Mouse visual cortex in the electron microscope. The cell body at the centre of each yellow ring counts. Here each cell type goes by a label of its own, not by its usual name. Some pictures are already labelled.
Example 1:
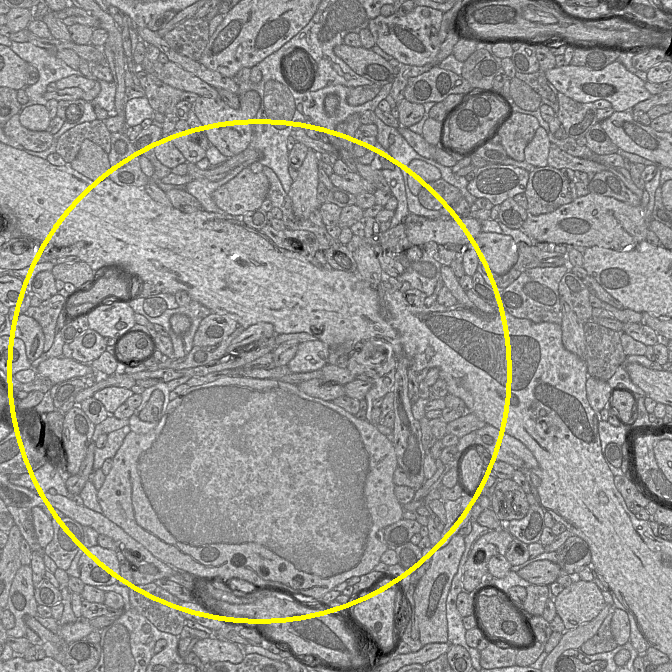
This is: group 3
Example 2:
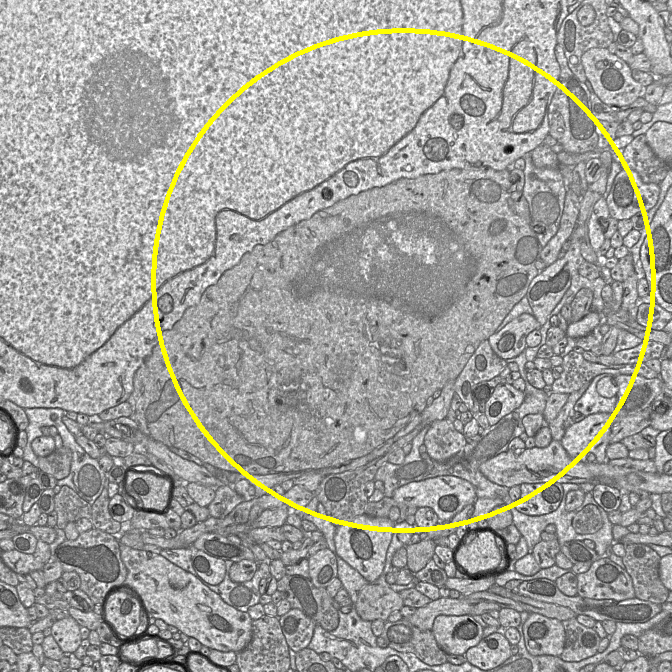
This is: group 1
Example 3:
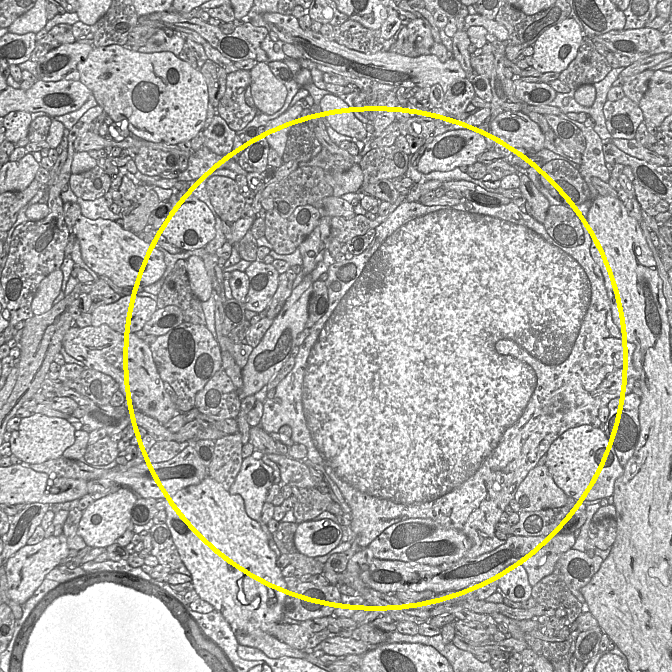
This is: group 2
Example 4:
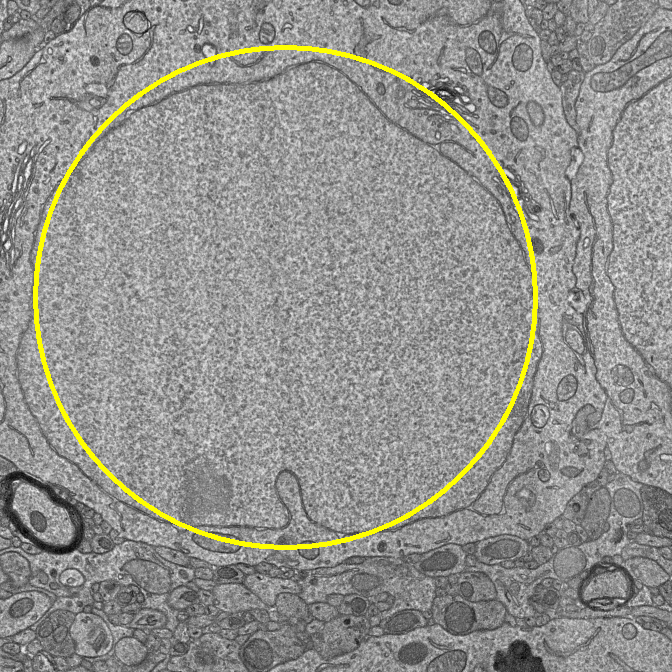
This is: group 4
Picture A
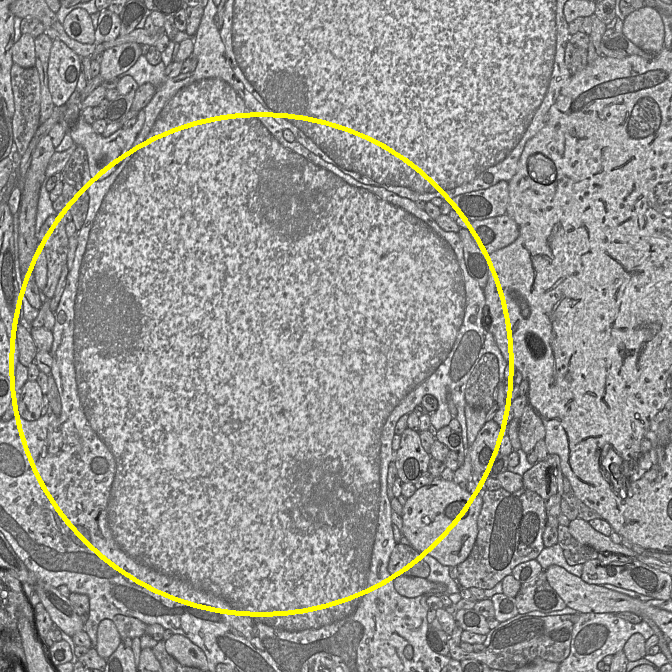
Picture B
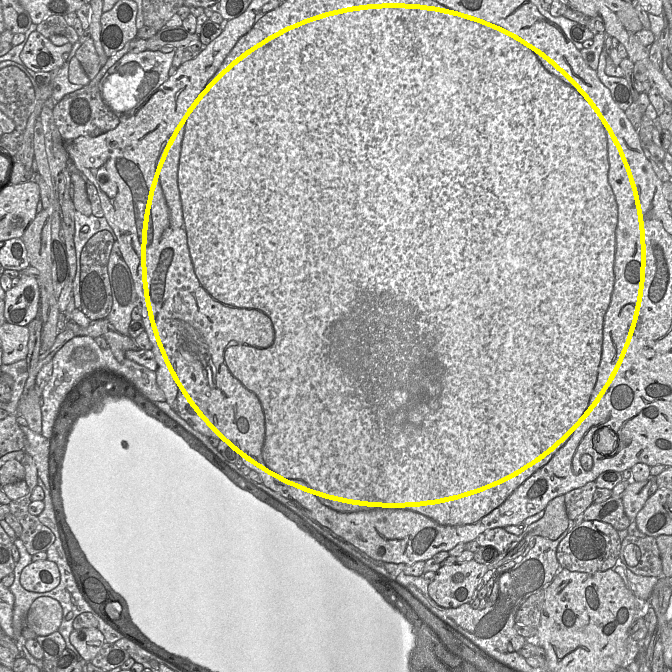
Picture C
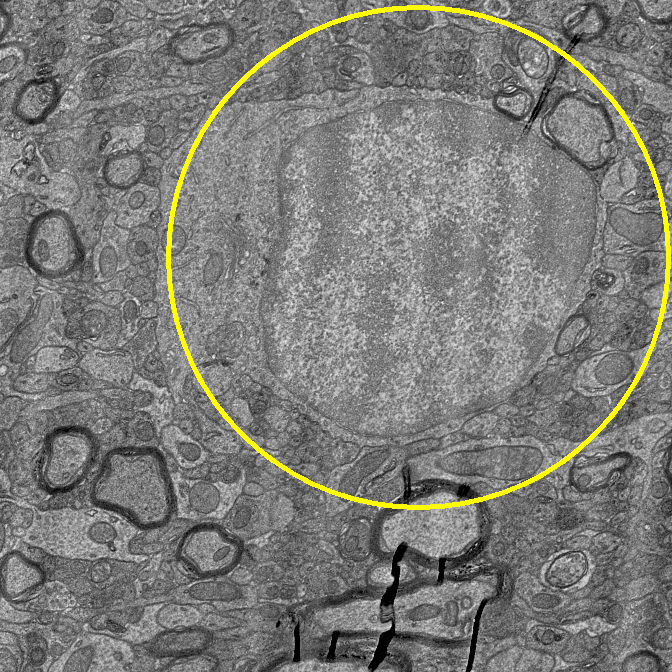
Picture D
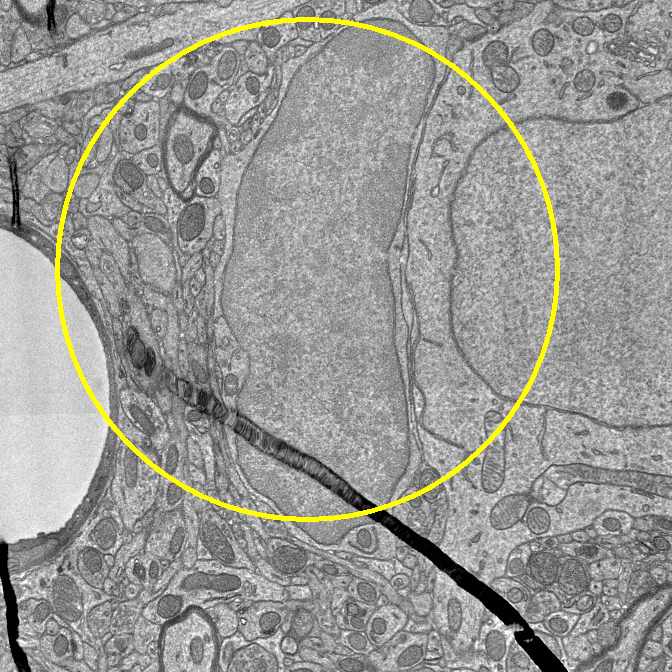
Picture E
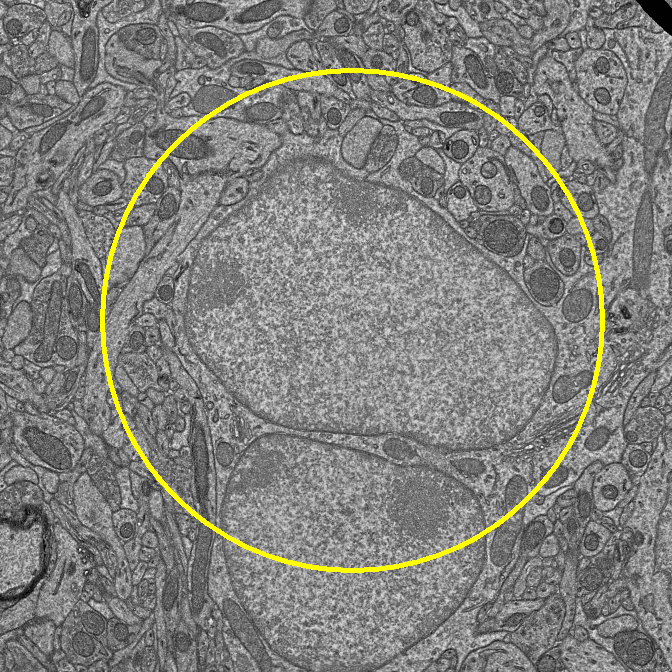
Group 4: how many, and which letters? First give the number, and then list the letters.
1, namely B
